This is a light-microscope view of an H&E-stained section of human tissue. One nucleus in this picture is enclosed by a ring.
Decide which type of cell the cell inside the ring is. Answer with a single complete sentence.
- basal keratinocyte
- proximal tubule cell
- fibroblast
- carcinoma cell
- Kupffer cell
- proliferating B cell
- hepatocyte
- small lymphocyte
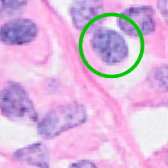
In terms of identity, the cell inside the ring is a carcinoma cell.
